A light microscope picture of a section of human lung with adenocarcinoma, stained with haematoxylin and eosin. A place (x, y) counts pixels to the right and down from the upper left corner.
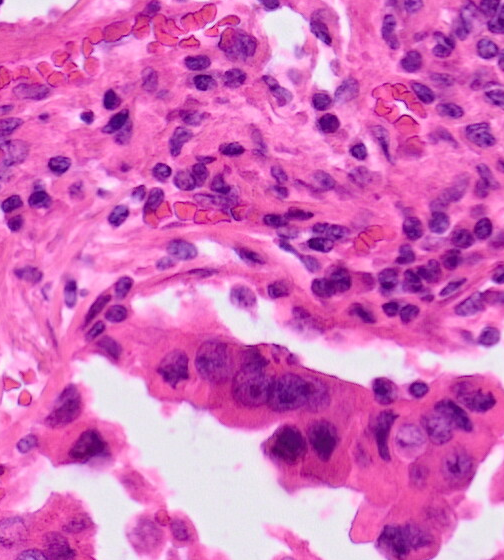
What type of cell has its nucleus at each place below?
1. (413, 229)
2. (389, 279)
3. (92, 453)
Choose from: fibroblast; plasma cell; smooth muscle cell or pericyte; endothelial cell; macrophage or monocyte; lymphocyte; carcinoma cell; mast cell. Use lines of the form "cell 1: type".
cell 1: lymphocyte
cell 2: lymphocyte
cell 3: carcinoma cell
